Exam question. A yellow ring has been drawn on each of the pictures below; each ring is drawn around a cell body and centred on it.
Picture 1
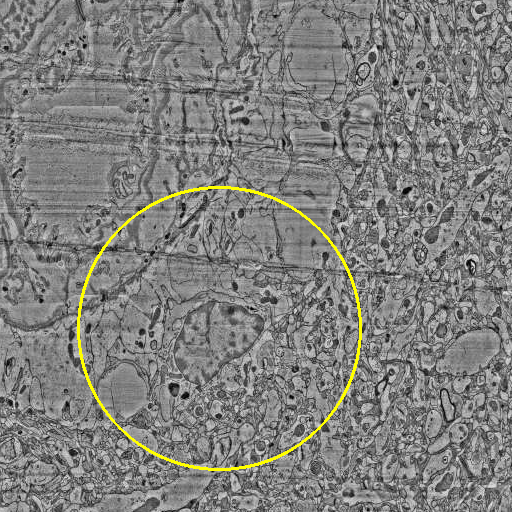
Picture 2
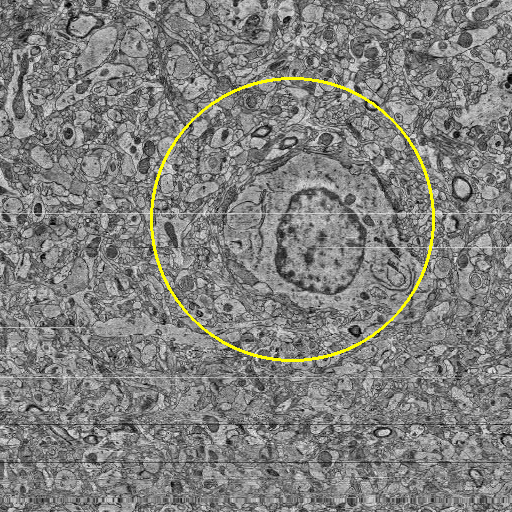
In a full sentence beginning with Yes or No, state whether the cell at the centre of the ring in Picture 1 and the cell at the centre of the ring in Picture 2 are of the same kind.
No, the cells are of two kinds.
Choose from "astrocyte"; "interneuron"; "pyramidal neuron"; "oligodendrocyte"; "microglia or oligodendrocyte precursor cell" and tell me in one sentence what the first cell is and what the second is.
What the first ring is centred on is a microglial cell or oligodendrocyte precursor cell; what the second ring is centred on is an astrocyte.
